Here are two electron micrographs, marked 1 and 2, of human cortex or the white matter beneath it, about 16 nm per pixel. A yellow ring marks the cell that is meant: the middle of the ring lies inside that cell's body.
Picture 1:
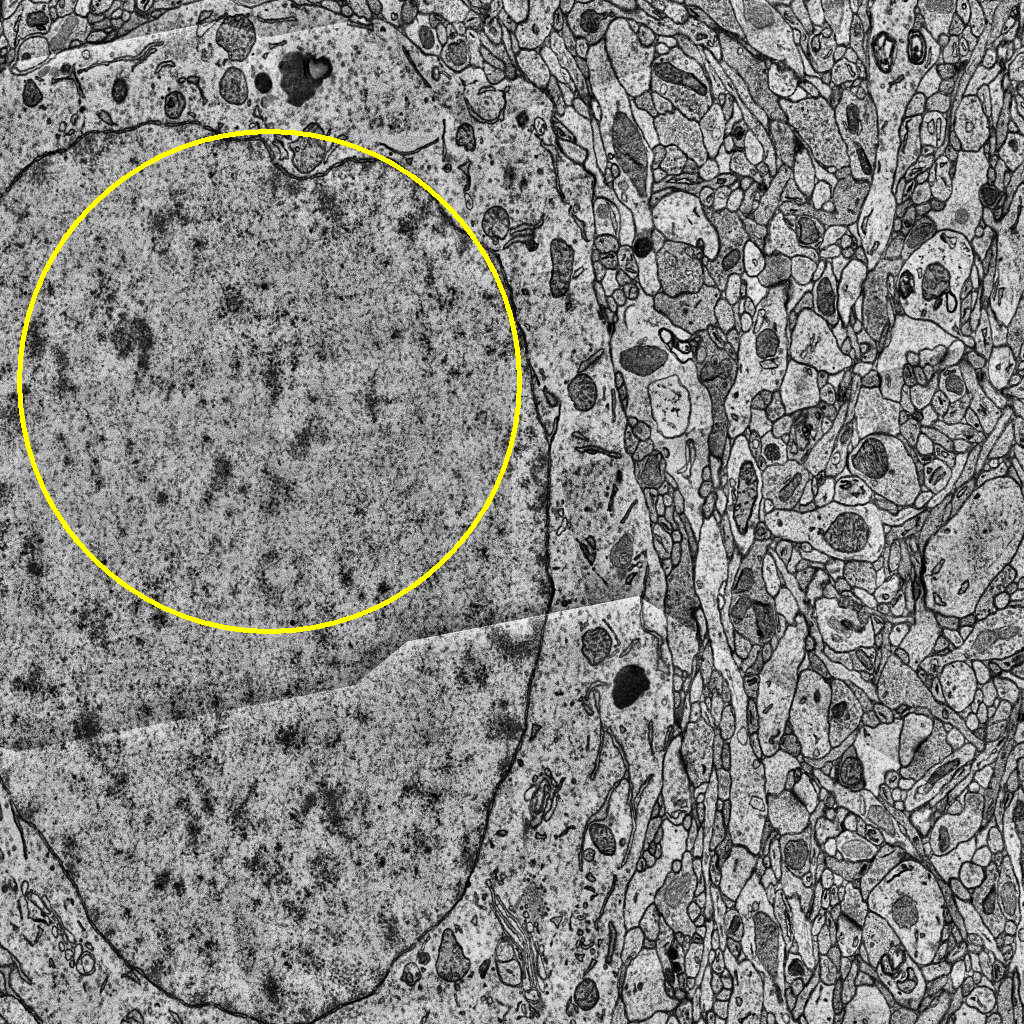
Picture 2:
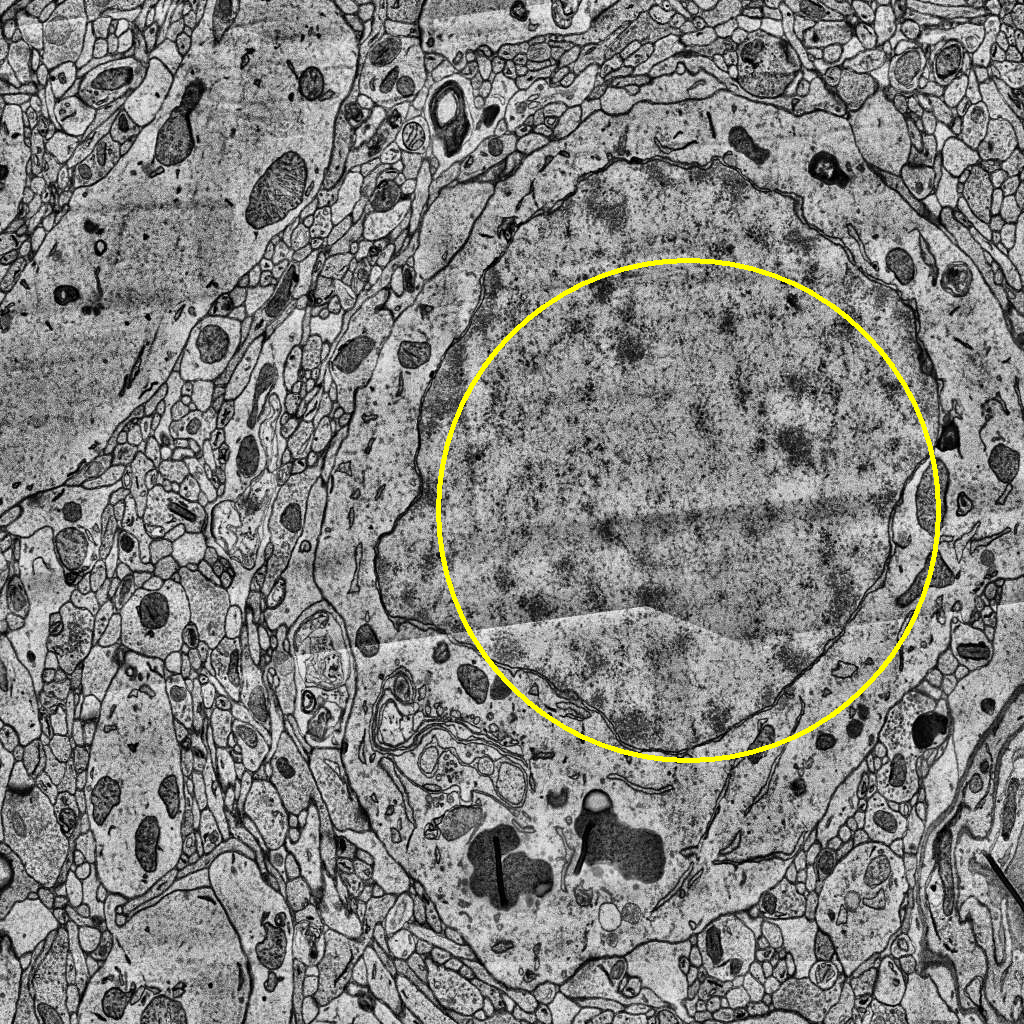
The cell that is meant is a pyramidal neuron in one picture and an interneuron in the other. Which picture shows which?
Picture 1 is of a pyramidal neuron, and picture 2 is of an interneuron.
